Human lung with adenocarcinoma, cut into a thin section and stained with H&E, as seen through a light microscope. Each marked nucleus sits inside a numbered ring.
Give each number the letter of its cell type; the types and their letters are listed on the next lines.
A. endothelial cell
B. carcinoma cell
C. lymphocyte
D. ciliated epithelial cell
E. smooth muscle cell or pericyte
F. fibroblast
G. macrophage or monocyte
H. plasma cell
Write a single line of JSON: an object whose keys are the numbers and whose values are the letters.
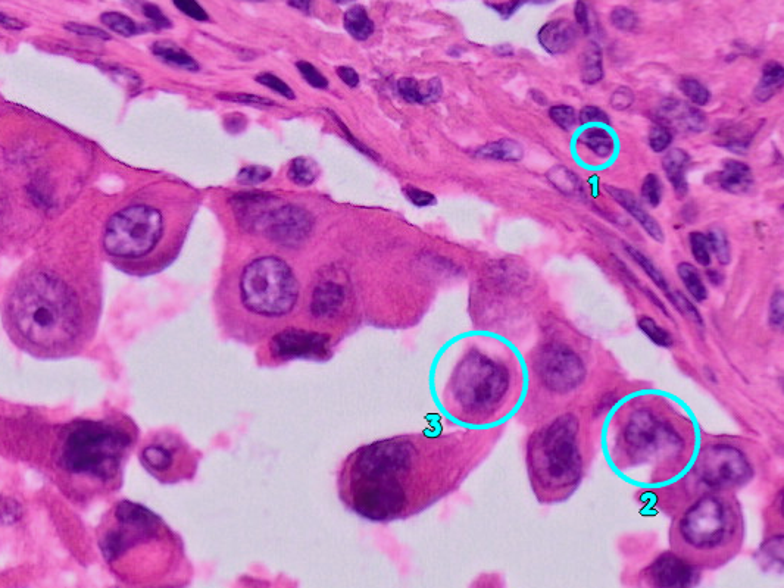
{"1": "C", "2": "B", "3": "B"}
